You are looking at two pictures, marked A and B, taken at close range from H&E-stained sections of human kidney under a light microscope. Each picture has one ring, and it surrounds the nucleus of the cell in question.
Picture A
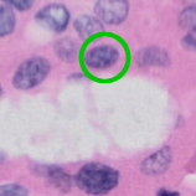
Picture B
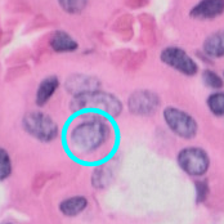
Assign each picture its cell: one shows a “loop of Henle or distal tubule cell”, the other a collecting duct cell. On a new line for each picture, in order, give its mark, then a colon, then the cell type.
A: loop of Henle or distal tubule cell
B: collecting duct cell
